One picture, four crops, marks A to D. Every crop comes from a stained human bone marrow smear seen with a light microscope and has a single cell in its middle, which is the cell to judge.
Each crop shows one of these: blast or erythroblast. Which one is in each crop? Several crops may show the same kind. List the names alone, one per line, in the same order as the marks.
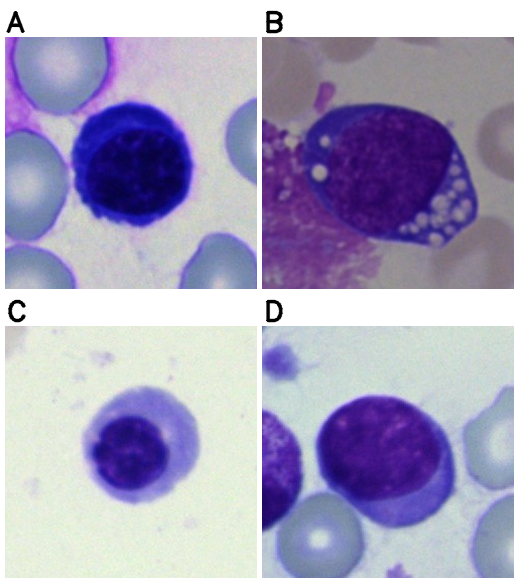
erythroblast
blast
erythroblast
blast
